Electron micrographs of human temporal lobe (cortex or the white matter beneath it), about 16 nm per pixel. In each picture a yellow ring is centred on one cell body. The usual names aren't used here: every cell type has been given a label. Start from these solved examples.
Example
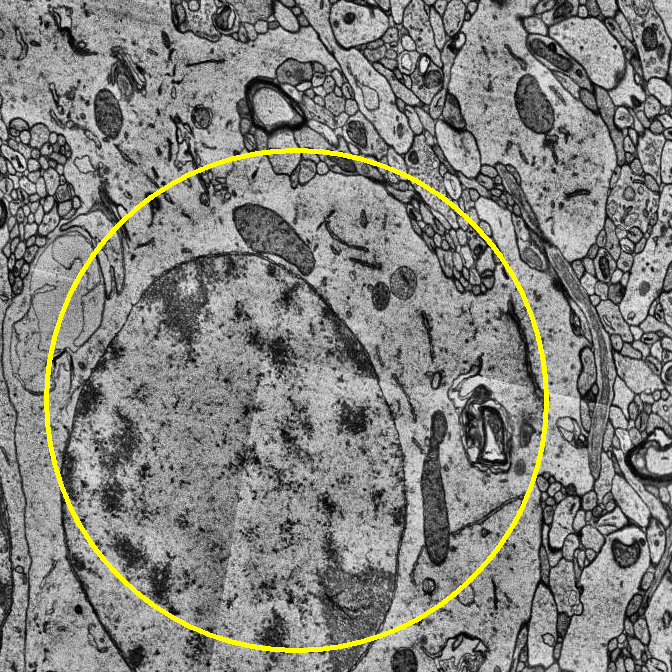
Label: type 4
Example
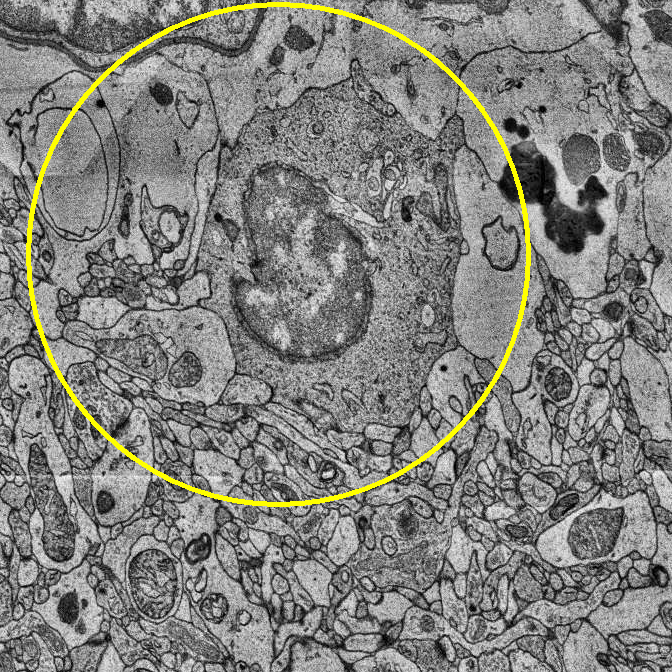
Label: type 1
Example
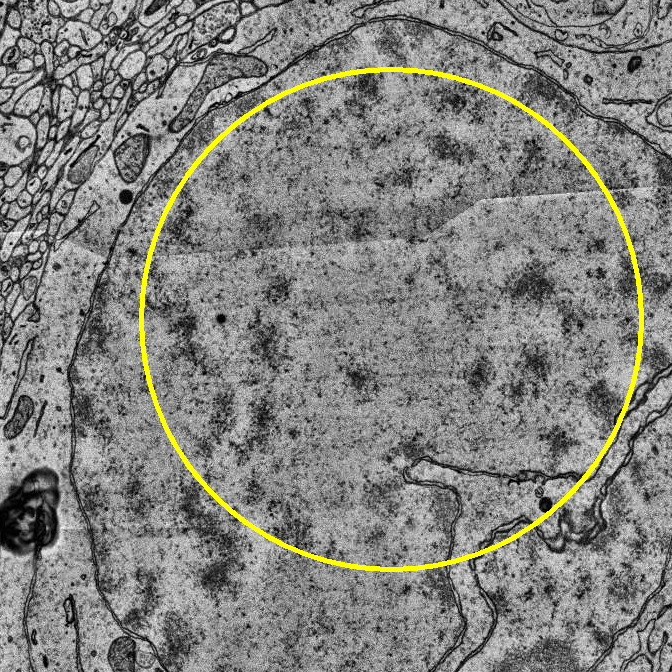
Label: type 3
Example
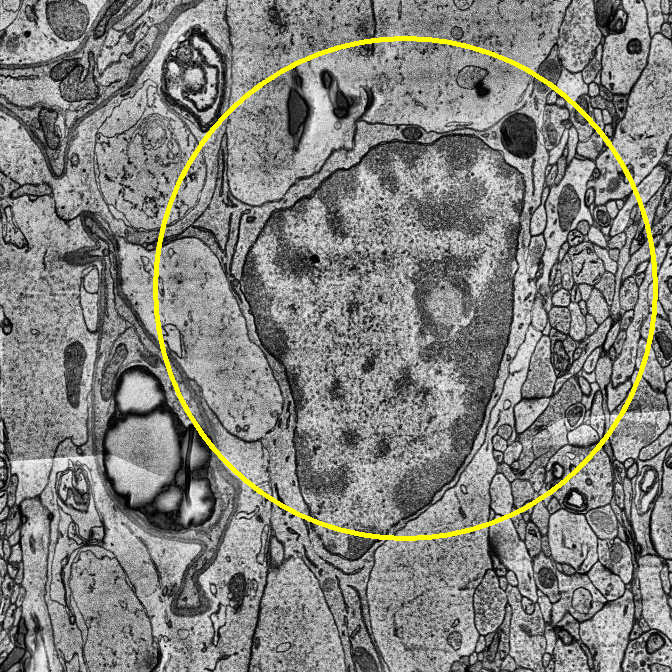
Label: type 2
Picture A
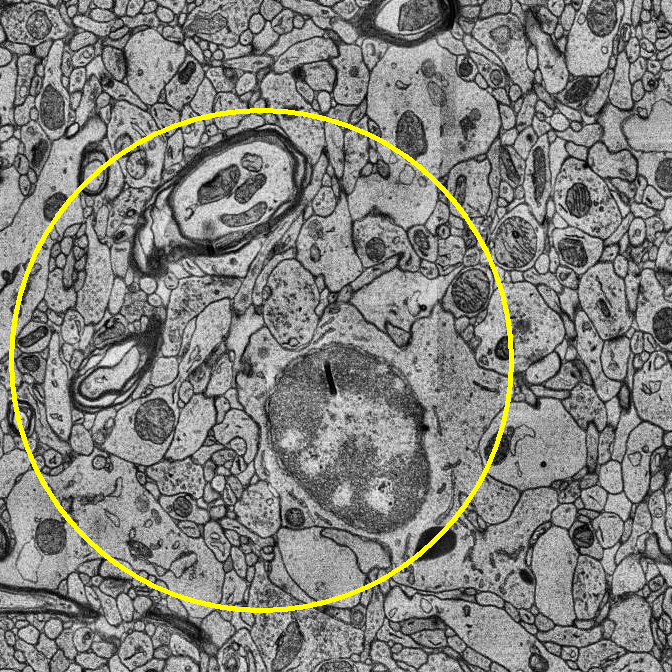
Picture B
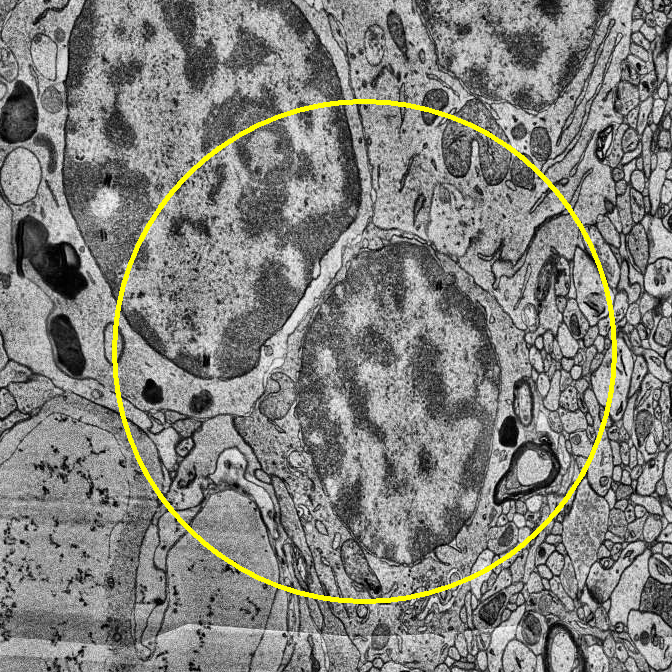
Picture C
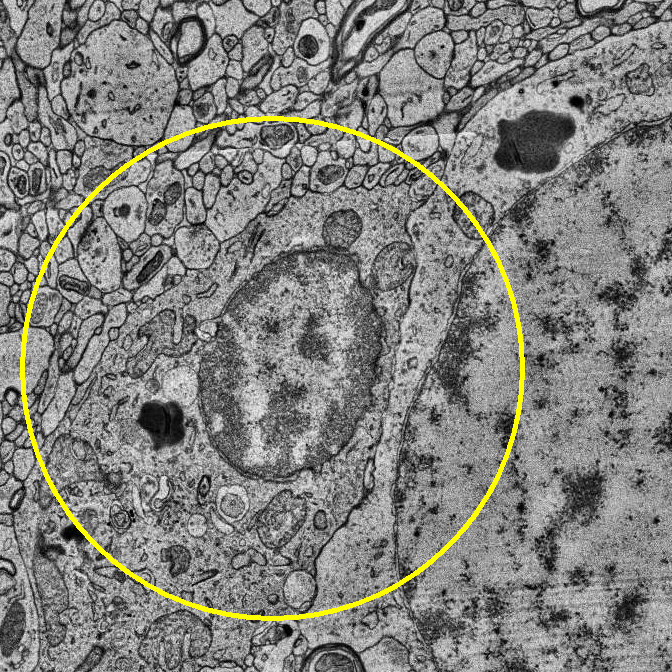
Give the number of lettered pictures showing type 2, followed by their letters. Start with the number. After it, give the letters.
1: A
